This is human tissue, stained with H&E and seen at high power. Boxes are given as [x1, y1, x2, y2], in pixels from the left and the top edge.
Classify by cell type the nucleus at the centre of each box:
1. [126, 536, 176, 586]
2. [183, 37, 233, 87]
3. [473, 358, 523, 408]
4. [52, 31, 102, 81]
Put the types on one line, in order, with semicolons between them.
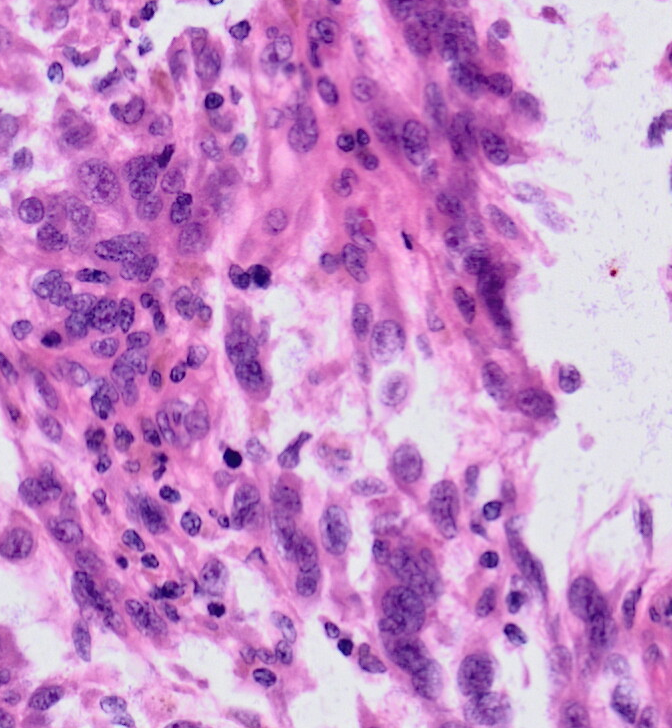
lymphocyte; melanoma cell; melanoma cell; melanoma cell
